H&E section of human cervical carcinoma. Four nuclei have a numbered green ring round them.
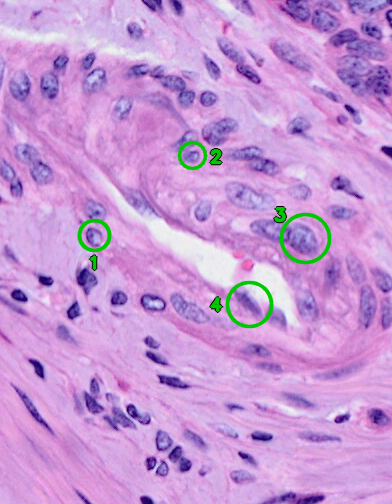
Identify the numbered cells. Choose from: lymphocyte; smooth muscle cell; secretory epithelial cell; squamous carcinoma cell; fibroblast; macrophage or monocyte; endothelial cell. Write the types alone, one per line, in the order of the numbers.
smooth muscle cell
smooth muscle cell
smooth muscle cell
endothelial cell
